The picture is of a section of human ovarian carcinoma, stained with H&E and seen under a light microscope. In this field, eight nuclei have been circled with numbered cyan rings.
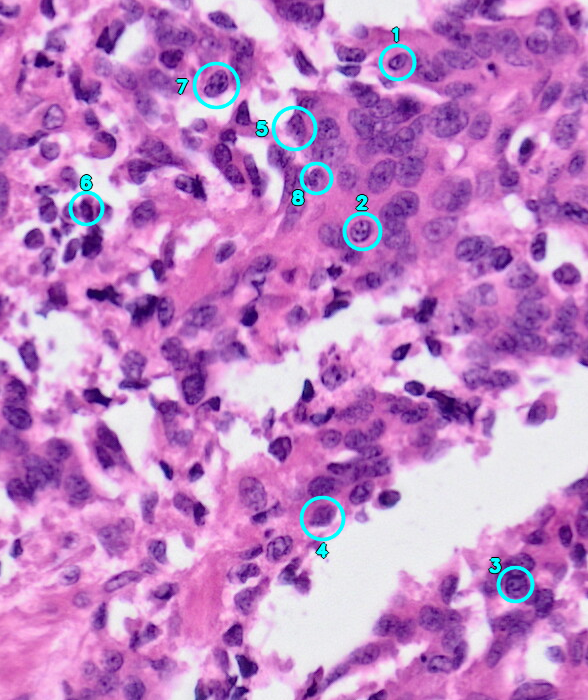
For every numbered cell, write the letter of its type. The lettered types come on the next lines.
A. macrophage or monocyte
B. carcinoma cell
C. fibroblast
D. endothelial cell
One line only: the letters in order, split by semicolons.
A; A; B; B; B; B; A; A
